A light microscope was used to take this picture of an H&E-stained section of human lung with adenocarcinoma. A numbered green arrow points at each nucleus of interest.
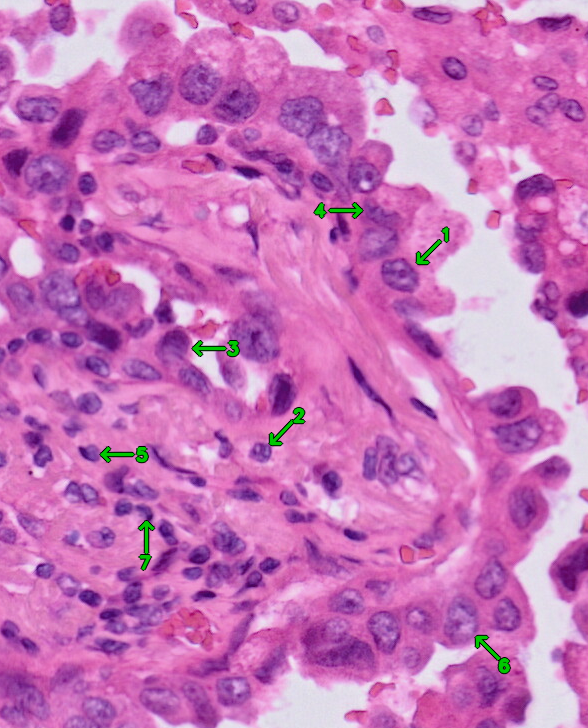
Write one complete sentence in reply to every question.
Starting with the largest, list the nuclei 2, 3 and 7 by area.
Going from the biggest nucleus down to the smallest gives 3, 2, 7.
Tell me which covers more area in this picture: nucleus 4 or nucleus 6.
Nucleus 6 is larger, with an area about 3 times that of nucleus 4.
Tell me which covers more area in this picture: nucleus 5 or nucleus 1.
Nucleus 1 covers more area, about 2.5 times as much as nucleus 5.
